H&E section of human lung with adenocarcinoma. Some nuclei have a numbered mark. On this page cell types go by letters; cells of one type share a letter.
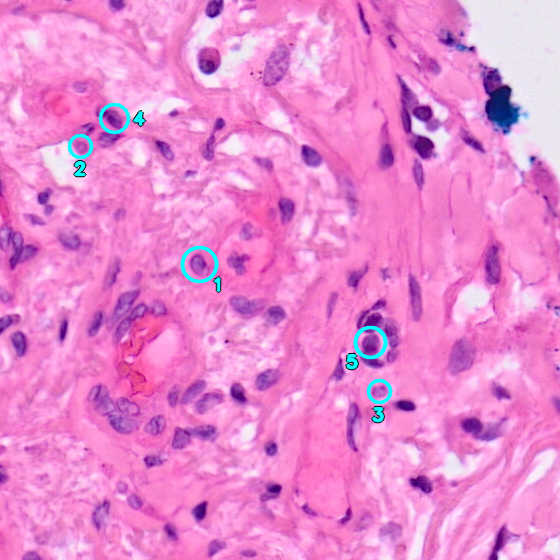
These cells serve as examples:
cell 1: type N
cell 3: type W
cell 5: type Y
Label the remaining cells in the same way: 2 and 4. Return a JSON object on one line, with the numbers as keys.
{"2": "type N", "4": "type N"}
